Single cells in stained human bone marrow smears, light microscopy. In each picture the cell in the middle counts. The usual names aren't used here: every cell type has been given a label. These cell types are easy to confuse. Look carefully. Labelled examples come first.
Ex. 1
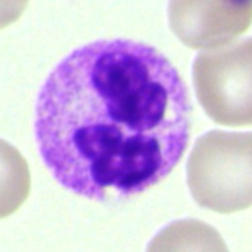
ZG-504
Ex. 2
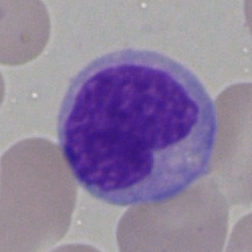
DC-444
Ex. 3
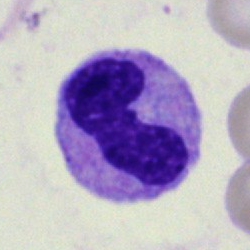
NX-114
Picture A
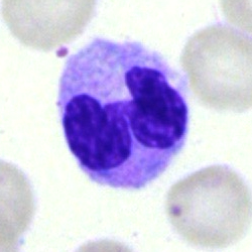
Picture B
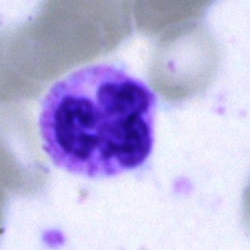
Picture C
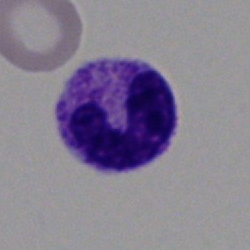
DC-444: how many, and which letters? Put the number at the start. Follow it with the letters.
0, none of them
